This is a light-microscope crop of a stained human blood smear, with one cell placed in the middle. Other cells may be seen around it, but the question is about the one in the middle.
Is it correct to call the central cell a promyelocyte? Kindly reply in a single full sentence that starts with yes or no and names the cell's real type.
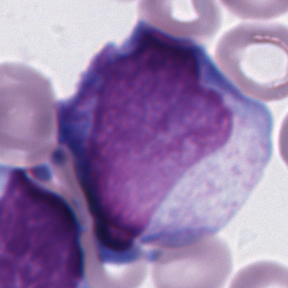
Yes, as regards the cell in the middle, it is a promyelocyte.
